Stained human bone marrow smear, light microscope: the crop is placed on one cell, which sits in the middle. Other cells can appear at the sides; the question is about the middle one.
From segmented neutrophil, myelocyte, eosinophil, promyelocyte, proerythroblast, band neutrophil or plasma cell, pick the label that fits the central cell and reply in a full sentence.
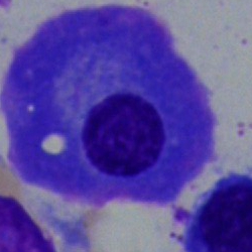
The middle of this crop is occupied by a plasma cell.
